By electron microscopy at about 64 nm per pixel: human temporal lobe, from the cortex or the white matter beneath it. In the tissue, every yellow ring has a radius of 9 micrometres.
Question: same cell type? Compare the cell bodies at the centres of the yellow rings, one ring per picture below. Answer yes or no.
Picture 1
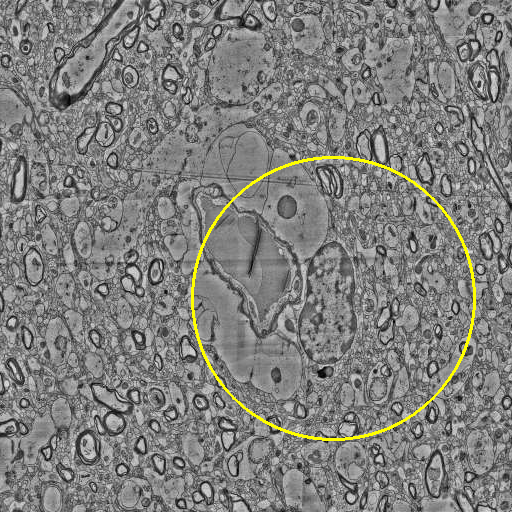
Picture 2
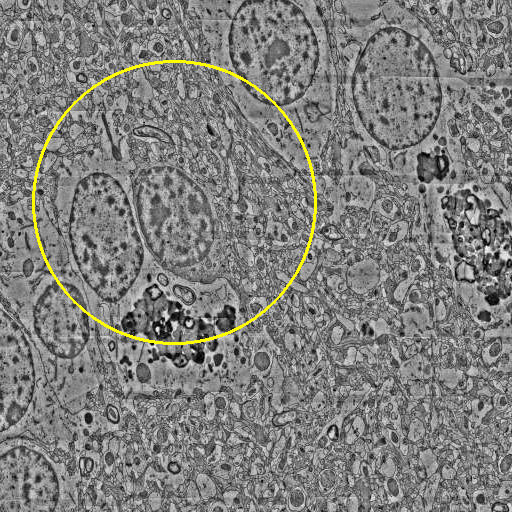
no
